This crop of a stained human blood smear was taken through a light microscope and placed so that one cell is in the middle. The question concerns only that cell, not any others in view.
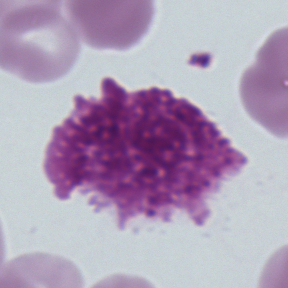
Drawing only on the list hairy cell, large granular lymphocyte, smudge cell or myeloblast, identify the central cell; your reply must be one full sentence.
In the middle of this smear crop is a smudge cell.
